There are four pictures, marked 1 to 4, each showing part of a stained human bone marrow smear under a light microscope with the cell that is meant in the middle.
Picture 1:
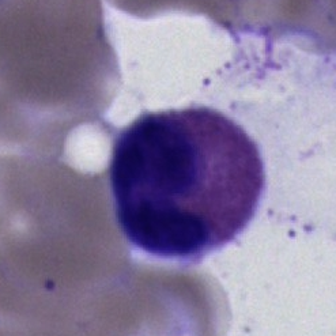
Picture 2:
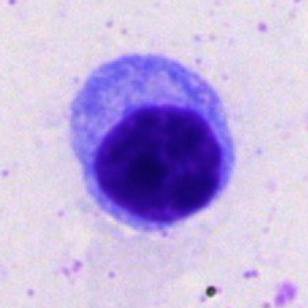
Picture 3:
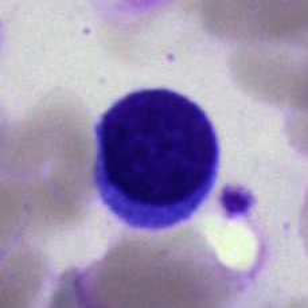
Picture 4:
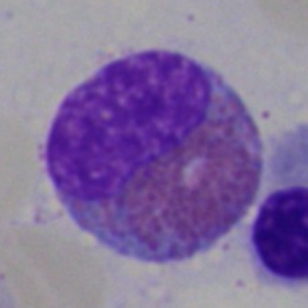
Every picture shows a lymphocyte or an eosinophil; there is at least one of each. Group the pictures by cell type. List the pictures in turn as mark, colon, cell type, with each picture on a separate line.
1: eosinophil
2: lymphocyte
3: lymphocyte
4: eosinophil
